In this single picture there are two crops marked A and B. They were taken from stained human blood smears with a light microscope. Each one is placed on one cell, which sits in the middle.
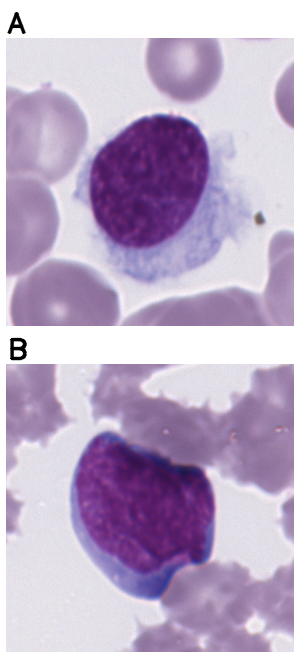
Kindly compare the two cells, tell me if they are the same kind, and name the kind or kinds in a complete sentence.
No, while a hairy cell is found in crop A, a blast is found in crop B.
